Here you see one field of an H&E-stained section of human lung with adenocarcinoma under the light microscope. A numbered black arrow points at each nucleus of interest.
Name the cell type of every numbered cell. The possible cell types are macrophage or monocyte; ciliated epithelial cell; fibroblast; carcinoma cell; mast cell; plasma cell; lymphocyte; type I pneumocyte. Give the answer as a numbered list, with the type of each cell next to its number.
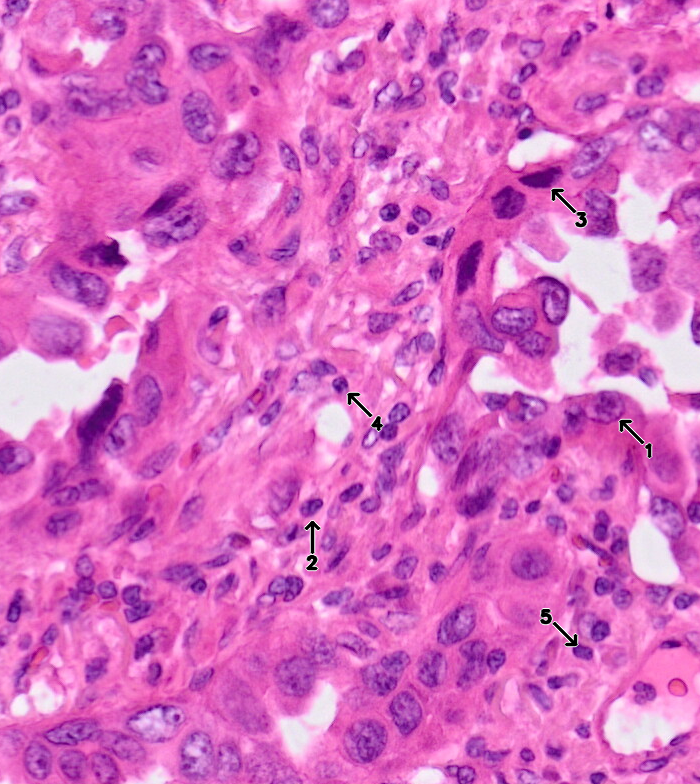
1. carcinoma cell
2. lymphocyte
3. carcinoma cell
4. lymphocyte
5. lymphocyte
